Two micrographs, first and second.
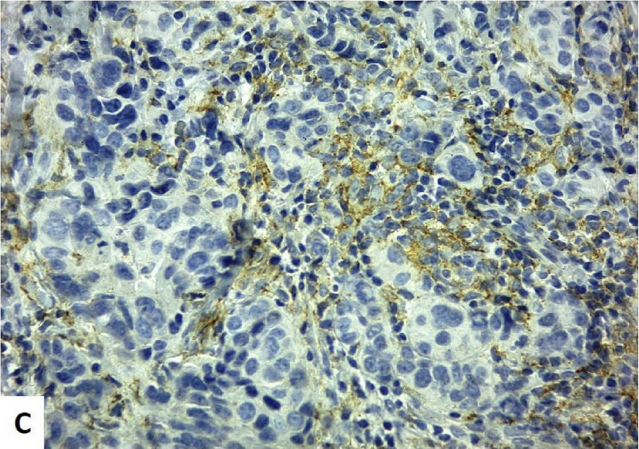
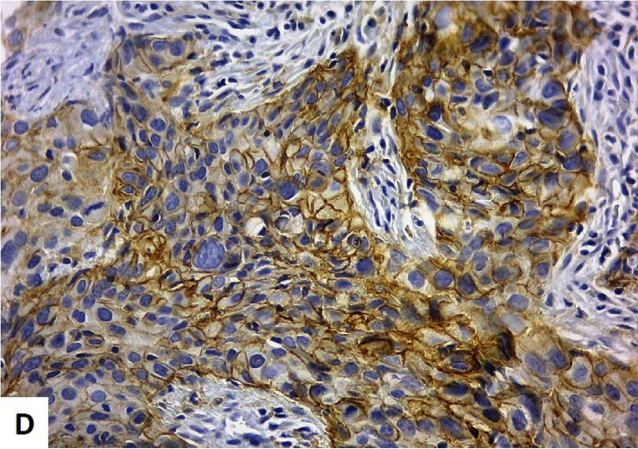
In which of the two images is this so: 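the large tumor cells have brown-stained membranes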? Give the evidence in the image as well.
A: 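Second image: nests of large polygonal cells show brown membrane outlines. First image: brown stain sits on small cells around large tumor cells, which stay blue.
Hence: the second image.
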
